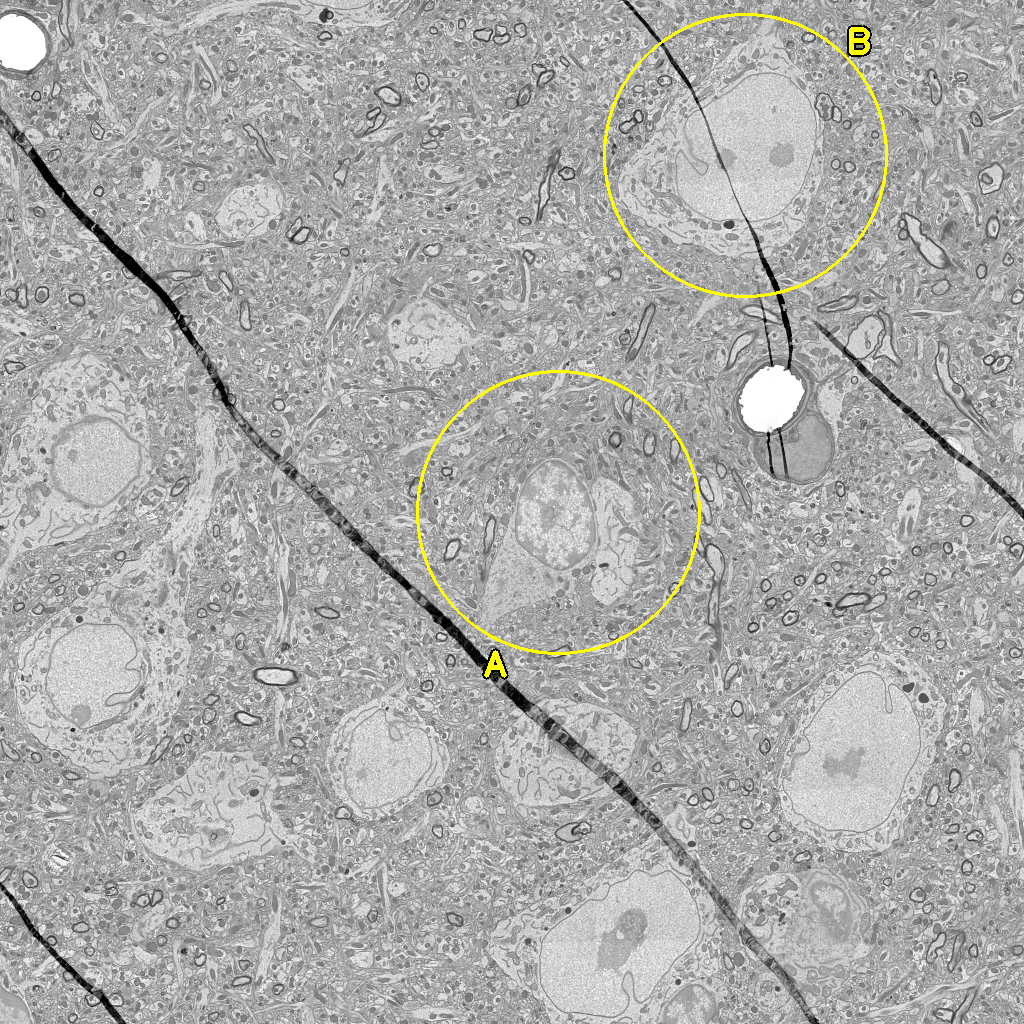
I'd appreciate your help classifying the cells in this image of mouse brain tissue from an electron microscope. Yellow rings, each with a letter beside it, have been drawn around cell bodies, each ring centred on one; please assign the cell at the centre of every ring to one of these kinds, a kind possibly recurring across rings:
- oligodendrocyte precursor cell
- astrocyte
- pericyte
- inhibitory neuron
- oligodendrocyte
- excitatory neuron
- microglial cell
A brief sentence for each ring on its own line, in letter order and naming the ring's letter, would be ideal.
In ring A, the central cell is an oligodendrocyte.
In ring B, the central cell is an excitatory neuron.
